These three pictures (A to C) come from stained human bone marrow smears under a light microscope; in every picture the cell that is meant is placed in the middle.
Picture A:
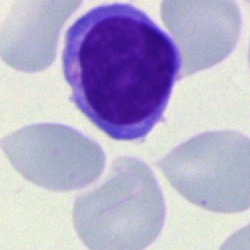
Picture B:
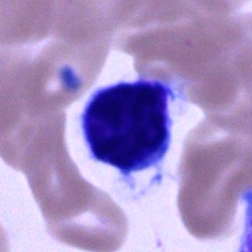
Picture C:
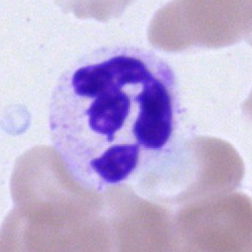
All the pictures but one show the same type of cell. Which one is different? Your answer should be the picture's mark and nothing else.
C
